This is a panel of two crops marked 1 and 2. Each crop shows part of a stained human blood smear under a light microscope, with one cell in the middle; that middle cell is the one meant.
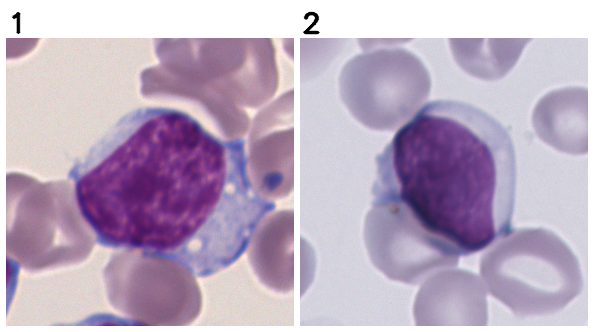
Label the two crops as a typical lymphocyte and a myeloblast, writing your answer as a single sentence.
The crop marked 1 shows a myeloblast; the crop marked 2 shows a typical lymphocyte.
